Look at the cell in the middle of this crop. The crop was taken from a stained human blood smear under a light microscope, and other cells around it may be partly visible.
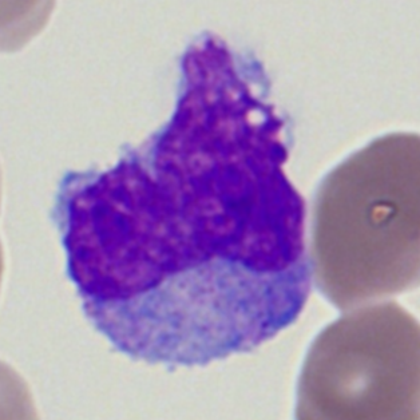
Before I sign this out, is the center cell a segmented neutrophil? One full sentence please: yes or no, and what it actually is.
No, the centred cell is a monocyte, and it is not a segmented neutrophil.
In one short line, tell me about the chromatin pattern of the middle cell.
Answer: the chromatin in this nucleus is coarsely clumped.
